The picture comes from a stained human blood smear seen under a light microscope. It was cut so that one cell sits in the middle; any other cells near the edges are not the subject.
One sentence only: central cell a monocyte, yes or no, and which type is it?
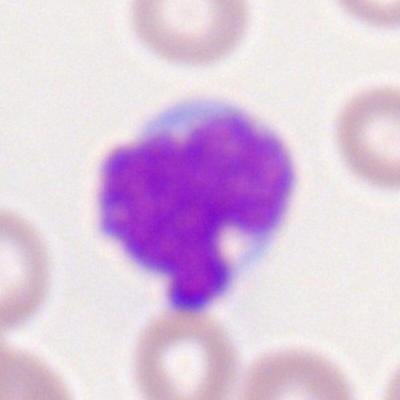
No, the cell in the middle should be called a blast instead of a monocyte.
